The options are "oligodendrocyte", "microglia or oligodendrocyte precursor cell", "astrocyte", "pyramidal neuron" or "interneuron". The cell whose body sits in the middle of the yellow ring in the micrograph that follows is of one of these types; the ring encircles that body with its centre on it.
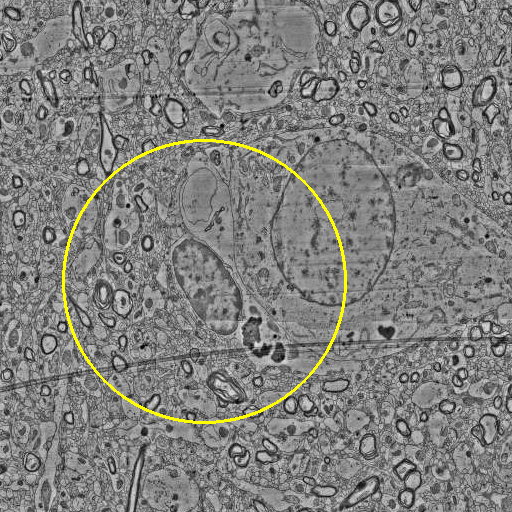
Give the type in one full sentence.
Going by the micrograph, the cell centred in the yellow ring is a microglial cell or oligodendrocyte precursor cell.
